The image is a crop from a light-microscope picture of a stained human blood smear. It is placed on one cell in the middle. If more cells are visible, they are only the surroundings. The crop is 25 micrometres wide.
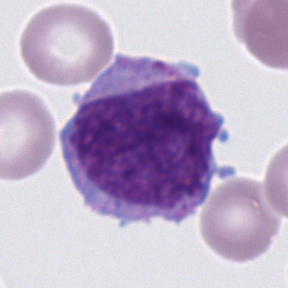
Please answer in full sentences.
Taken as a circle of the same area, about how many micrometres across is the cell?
The cell is about 14 micrometres across.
